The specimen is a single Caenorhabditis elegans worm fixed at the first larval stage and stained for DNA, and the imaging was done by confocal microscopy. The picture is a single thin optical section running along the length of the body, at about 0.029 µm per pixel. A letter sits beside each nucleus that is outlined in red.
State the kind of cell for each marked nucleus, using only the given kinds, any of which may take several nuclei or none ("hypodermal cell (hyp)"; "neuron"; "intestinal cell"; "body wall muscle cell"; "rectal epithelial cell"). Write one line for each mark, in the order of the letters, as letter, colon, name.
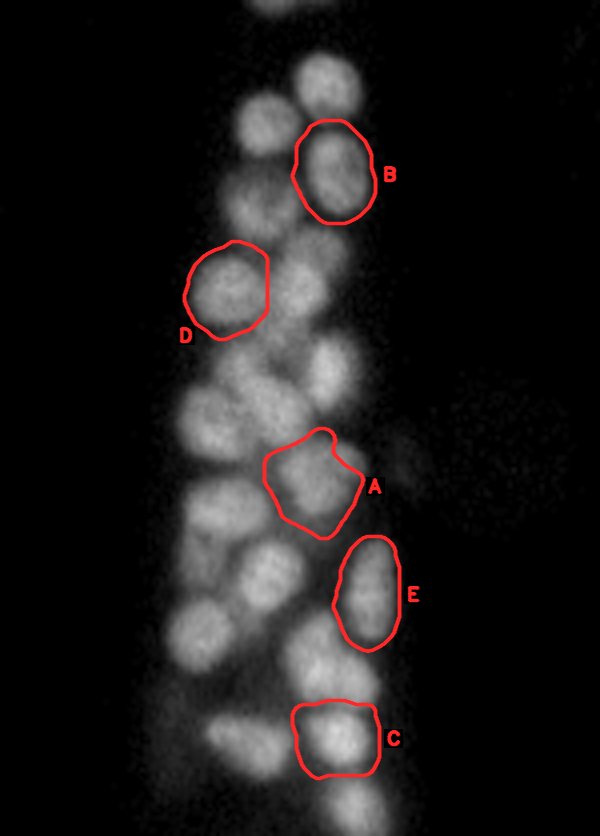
A: rectal epithelial cell
B: hypodermal cell (hyp)
C: neuron
D: body wall muscle cell
E: rectal epithelial cell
